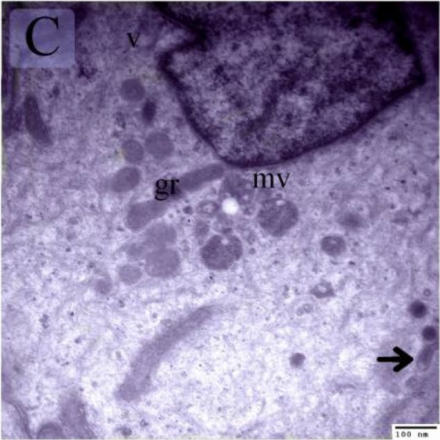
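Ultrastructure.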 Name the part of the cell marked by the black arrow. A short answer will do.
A: Rod-shaped granule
